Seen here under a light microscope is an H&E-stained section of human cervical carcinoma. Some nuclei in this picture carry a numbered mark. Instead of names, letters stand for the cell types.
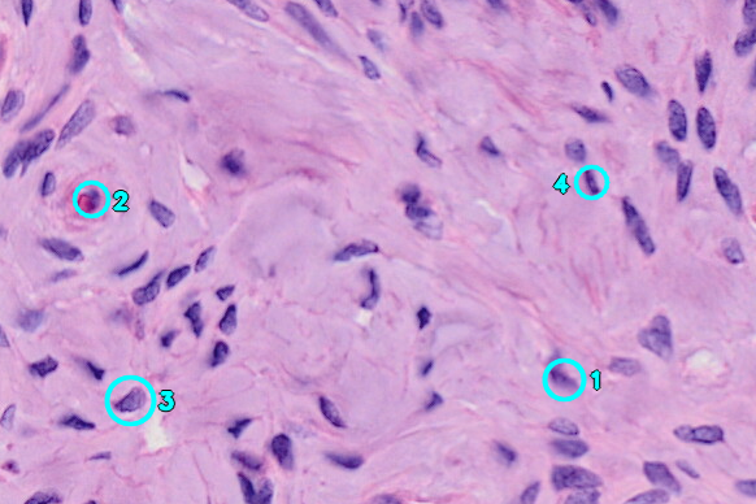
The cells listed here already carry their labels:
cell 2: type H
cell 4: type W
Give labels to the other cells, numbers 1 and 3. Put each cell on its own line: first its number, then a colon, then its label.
1: type W
3: type W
